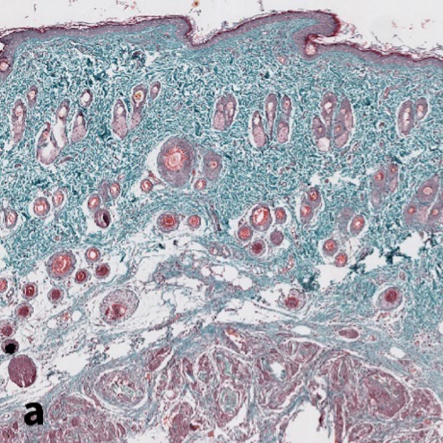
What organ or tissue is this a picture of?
Normal skin with preserved skin appendages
